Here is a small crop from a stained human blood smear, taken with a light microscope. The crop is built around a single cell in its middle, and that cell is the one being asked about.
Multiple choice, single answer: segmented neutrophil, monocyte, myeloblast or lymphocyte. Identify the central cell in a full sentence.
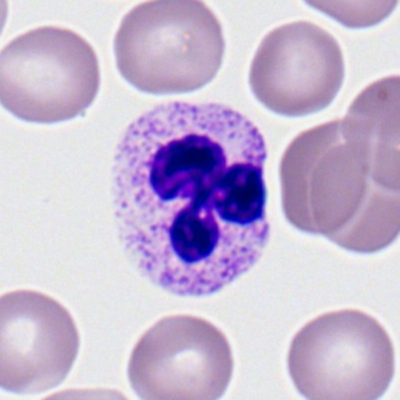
The cell at the heart of this crop is a segmented neutrophil.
